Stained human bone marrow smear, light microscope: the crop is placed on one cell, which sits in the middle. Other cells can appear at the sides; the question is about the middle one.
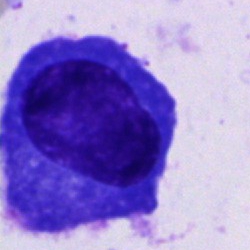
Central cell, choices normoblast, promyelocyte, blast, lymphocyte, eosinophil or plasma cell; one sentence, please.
The central cell, amid any neighbouring cells, is a plasma cell.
